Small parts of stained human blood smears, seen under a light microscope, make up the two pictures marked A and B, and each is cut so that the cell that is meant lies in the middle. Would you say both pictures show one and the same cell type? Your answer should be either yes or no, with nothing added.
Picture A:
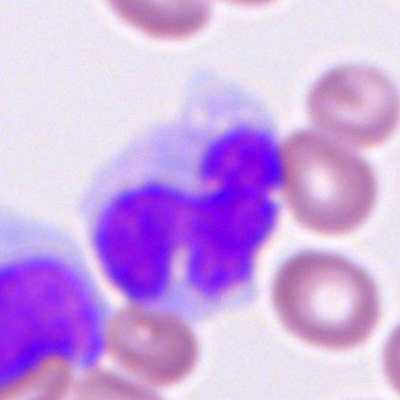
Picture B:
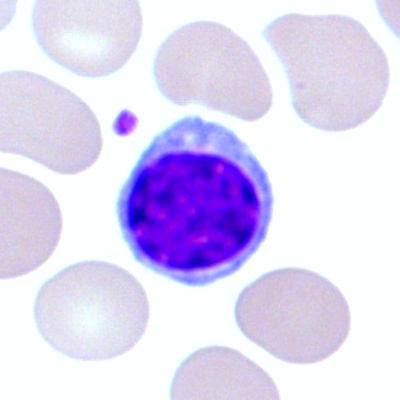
no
